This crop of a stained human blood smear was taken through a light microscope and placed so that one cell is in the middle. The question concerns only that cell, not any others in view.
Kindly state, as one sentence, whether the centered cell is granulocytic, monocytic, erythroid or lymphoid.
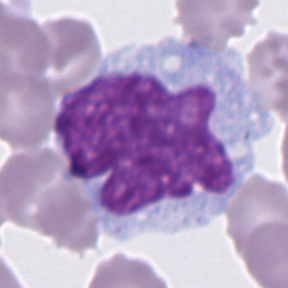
From the monocytic lineage comes the cell in the middle of the crop.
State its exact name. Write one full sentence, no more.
This crop has a monocyte at its centre.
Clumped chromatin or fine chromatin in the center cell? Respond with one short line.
The chromatin shows a fine pattern without coarse clumps.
